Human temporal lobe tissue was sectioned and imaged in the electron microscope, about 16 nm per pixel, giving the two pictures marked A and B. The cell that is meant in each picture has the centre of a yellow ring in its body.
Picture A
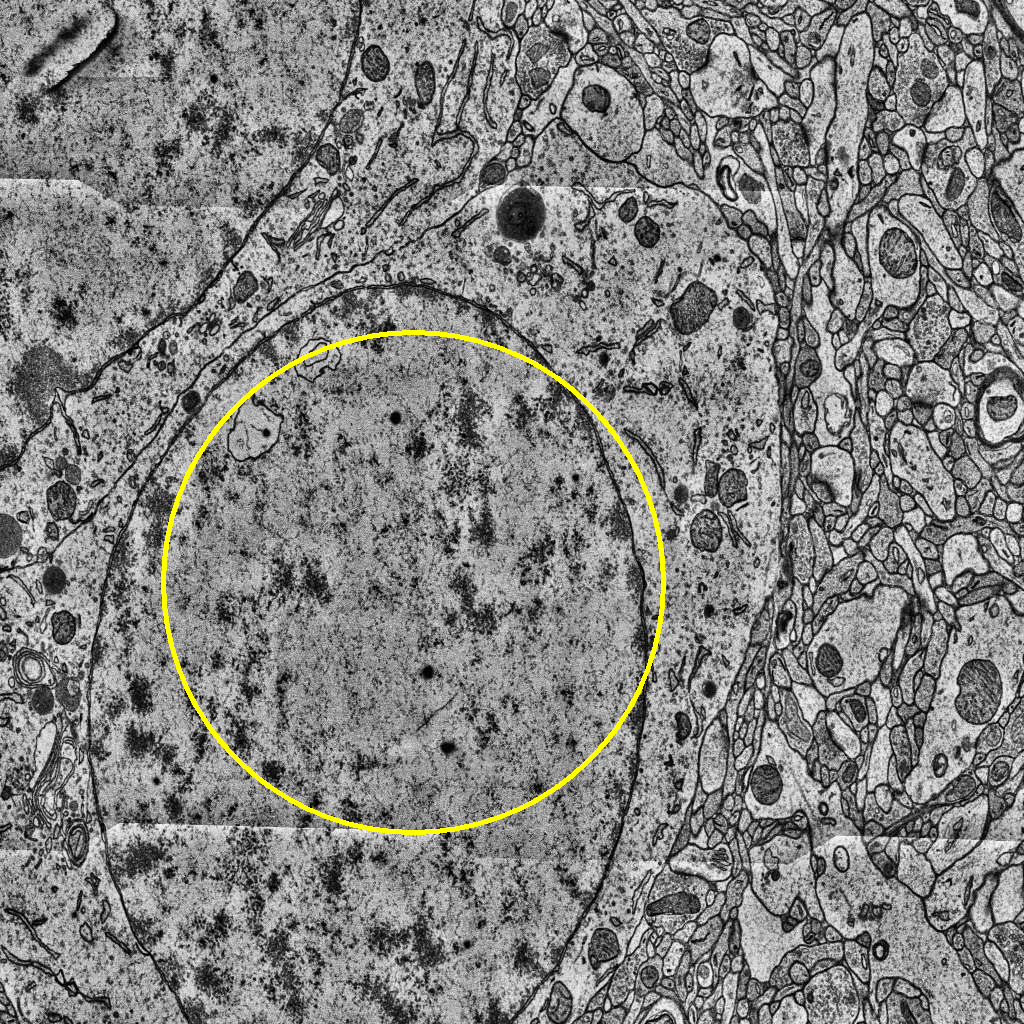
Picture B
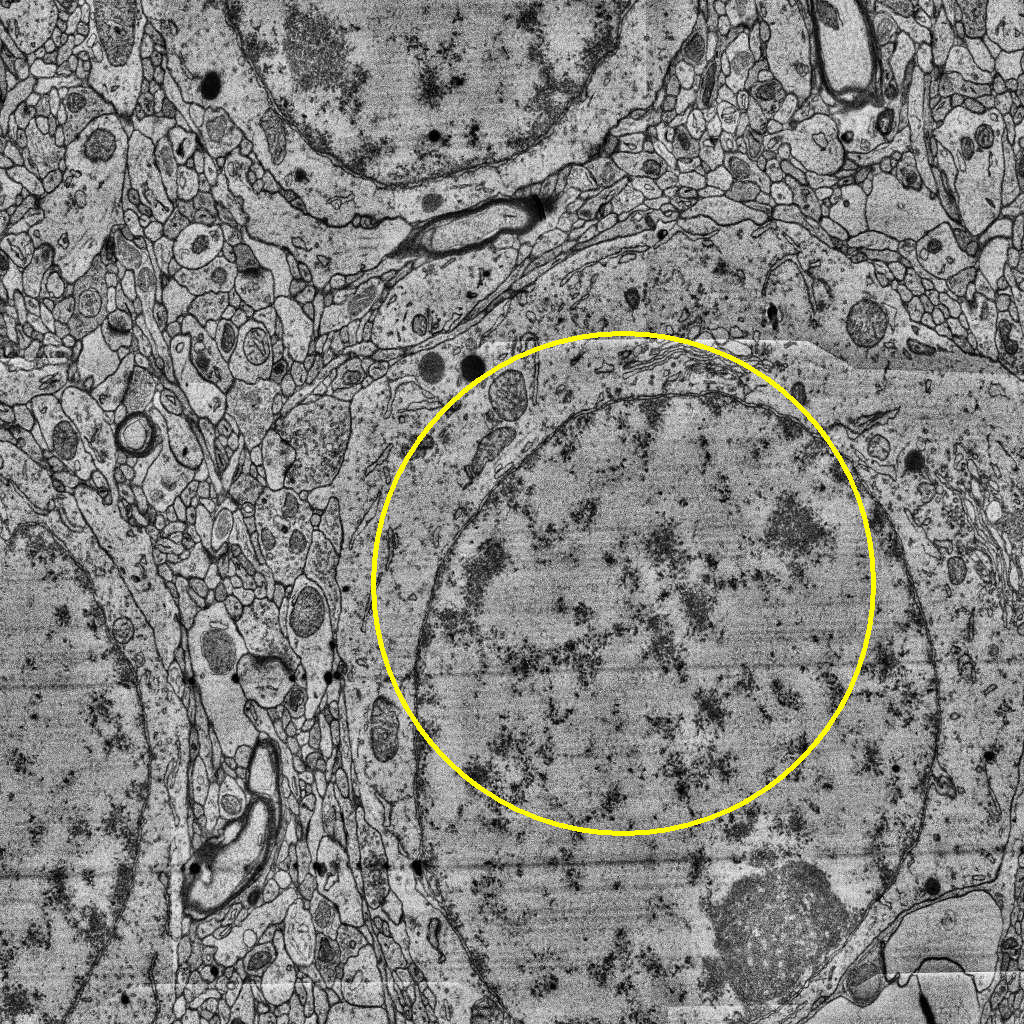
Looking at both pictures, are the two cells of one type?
Yes, the two pictures both show pyramidal neurons.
